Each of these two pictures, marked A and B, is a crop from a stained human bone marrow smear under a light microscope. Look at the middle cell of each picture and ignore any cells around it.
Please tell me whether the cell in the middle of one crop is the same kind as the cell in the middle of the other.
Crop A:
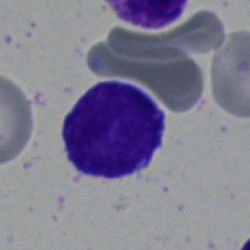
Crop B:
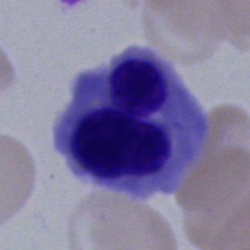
no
